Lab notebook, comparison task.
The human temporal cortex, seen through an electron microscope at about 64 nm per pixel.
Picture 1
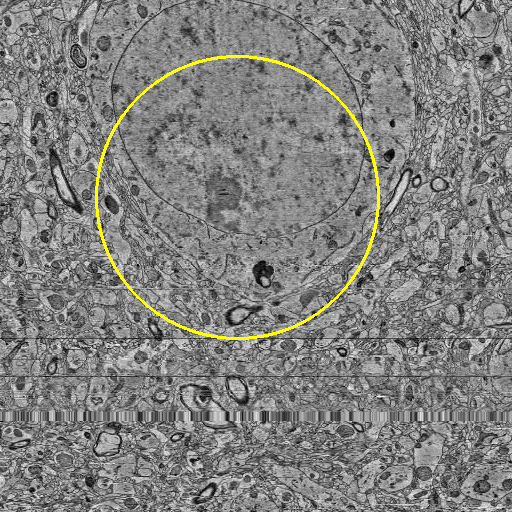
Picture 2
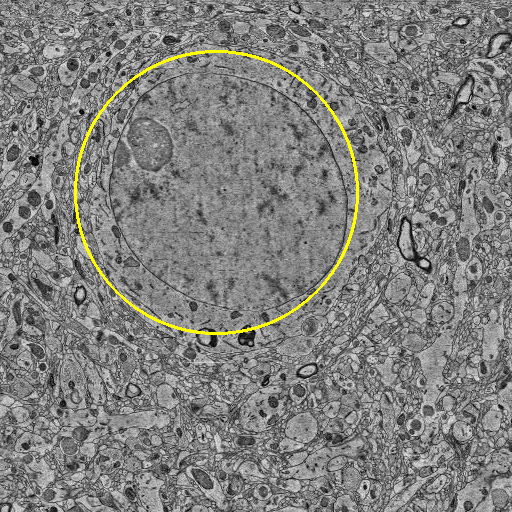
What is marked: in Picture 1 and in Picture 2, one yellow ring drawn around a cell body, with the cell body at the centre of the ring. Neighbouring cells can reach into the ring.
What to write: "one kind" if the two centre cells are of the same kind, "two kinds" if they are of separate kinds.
one kind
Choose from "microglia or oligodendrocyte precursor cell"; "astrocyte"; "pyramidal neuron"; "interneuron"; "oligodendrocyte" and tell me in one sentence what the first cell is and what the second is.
Each cell at the centre of a ring is a pyramidal neuron.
